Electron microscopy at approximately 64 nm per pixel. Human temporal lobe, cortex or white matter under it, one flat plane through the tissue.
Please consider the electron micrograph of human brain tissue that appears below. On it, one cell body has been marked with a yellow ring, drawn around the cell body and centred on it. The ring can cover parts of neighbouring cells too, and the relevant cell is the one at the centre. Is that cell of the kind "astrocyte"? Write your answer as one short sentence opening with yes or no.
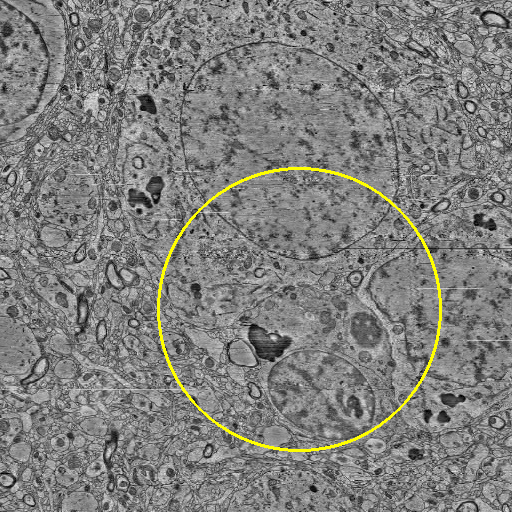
No, it is of another kind.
